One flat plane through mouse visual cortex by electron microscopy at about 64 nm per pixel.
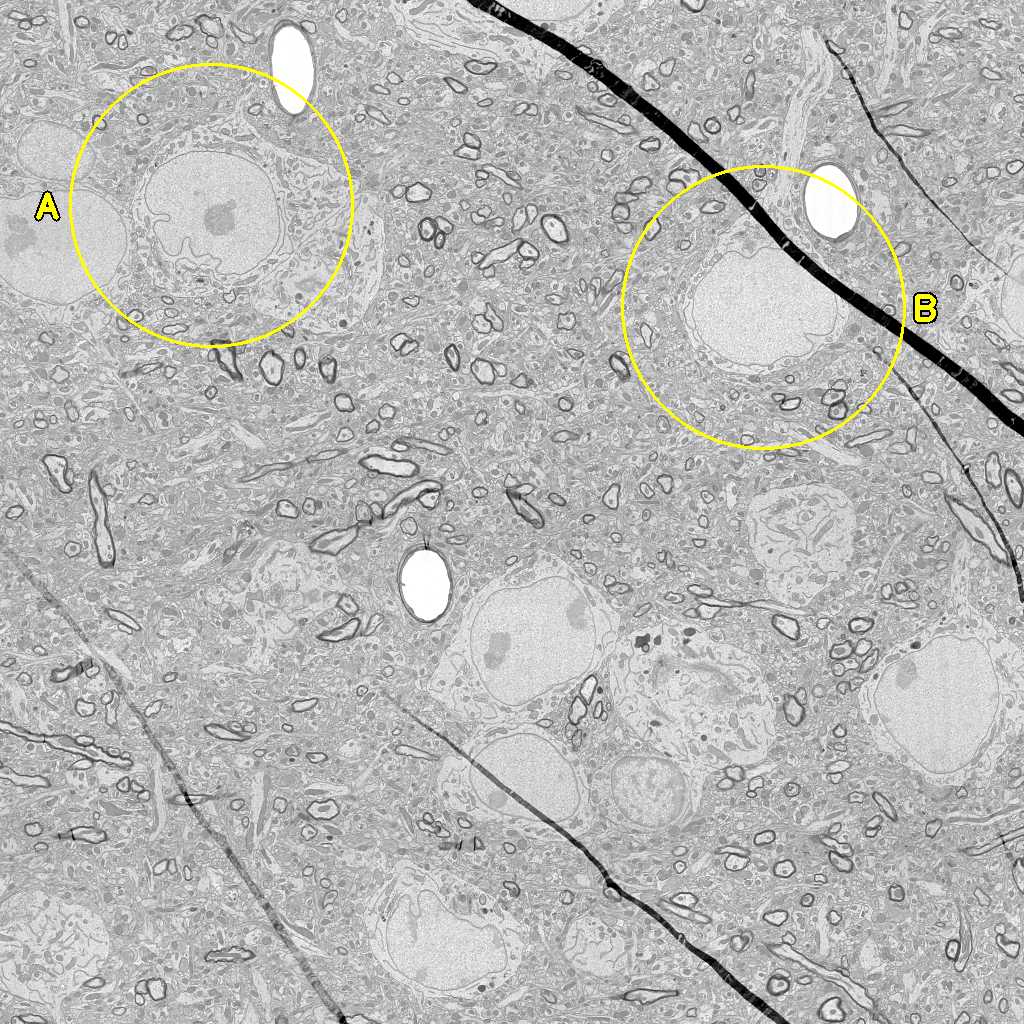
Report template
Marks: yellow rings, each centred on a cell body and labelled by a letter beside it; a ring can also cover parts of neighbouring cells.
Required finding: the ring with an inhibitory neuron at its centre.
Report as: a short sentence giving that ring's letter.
Ring A holds that cell at its centre.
